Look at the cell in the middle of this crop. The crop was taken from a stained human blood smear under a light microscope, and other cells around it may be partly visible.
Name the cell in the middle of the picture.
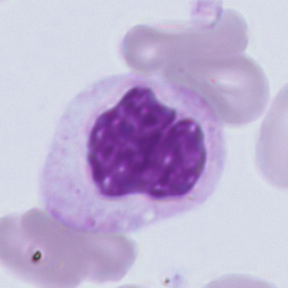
band neutrophil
